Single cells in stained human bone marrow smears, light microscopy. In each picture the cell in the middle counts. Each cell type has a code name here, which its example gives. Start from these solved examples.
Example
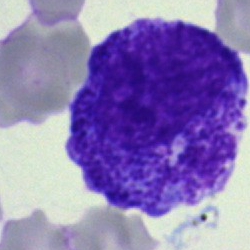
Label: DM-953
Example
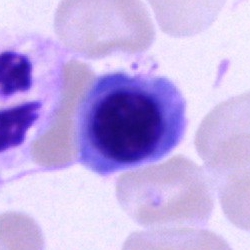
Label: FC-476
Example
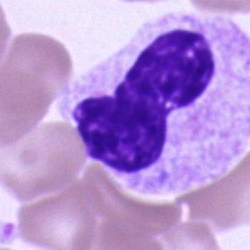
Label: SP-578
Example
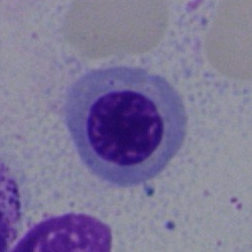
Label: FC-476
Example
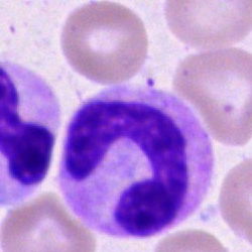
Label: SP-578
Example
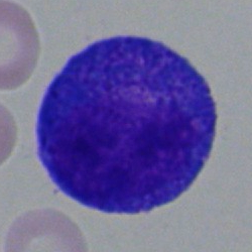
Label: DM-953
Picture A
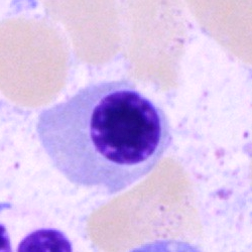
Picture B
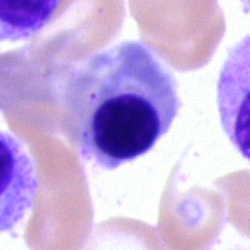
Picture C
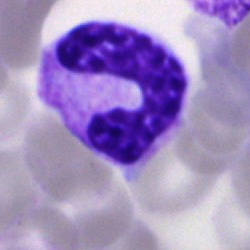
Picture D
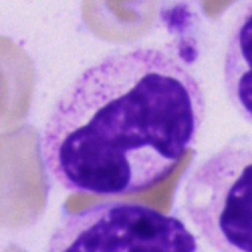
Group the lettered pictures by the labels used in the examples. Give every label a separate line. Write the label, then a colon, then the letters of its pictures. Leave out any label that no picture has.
FC-476: A, B
SP-578: C, D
